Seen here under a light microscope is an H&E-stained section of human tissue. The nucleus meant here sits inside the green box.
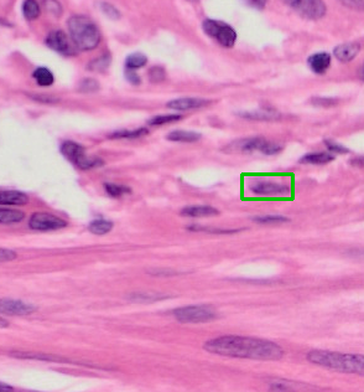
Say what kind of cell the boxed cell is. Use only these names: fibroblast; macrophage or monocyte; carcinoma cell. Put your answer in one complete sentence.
The boxed cell is a fibroblast.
